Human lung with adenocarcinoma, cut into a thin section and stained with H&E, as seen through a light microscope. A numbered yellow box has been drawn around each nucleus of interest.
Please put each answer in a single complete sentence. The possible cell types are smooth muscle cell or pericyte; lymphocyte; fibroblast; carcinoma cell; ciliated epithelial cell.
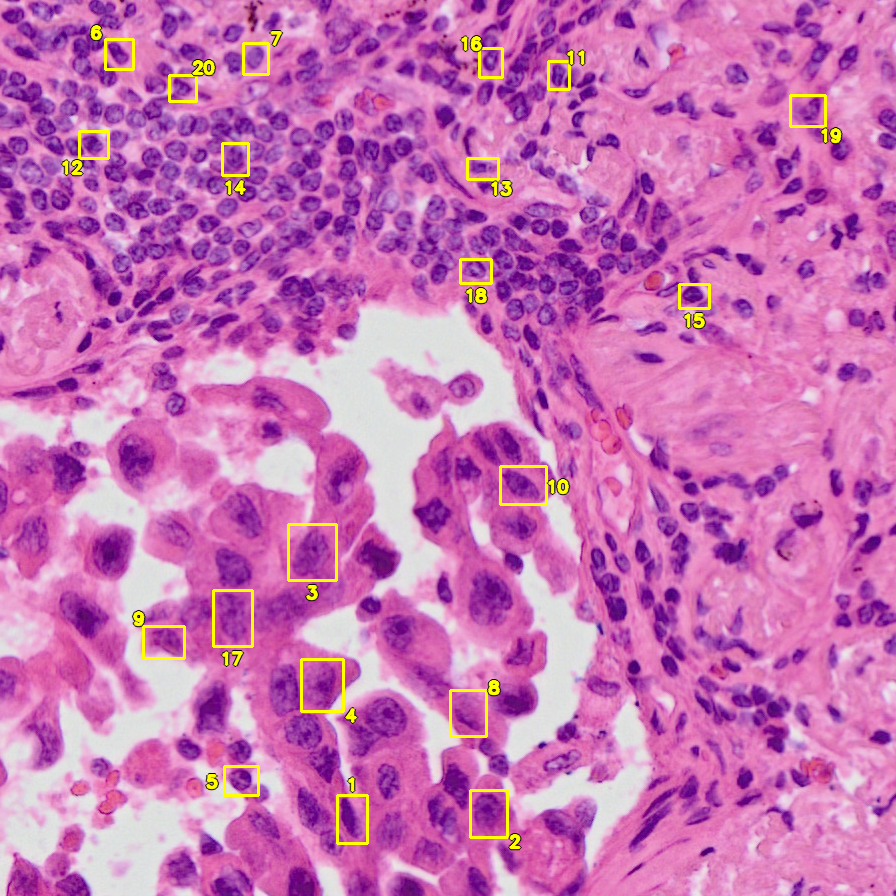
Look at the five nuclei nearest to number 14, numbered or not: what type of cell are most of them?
Of the five nuclei nearest to number 14, most belong to lymphocytes.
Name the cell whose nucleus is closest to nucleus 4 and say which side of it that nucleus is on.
A carcinoma cell lies closest, to the left of nucleus 4.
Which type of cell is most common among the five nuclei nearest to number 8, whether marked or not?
Carcinoma cells account for more than half of the five nuclei nearest to number 8.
